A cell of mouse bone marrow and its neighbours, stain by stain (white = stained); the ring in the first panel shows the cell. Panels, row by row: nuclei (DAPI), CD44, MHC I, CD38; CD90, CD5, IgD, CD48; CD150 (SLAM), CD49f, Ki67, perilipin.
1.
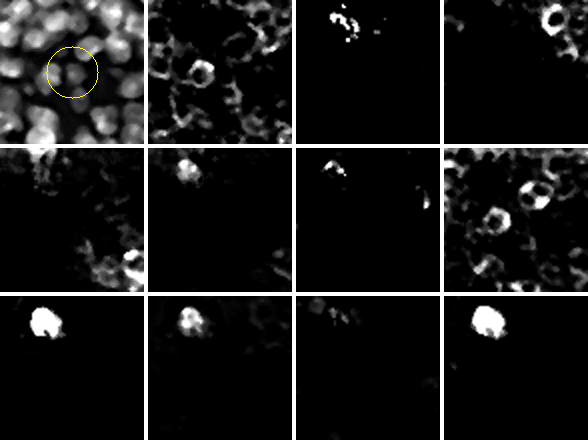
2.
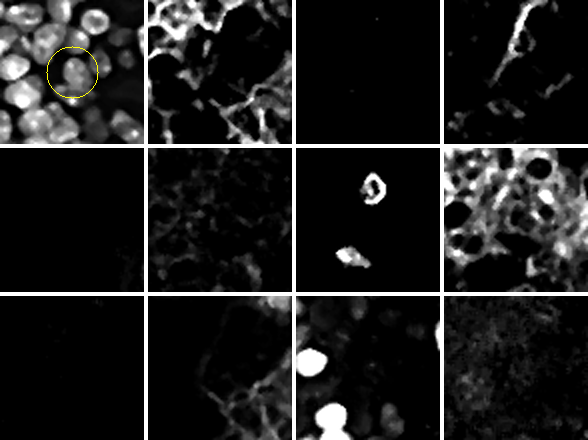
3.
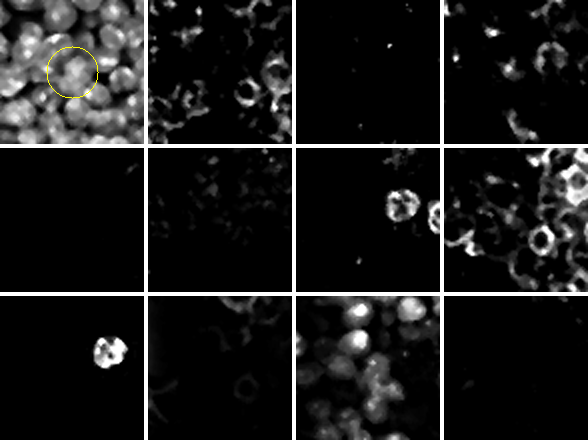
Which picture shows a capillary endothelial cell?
Picture 2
